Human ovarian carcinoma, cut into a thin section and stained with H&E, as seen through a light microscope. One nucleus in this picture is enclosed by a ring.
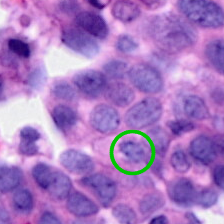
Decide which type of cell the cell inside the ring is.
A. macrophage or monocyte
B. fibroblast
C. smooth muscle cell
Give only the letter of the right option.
A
